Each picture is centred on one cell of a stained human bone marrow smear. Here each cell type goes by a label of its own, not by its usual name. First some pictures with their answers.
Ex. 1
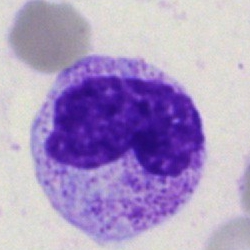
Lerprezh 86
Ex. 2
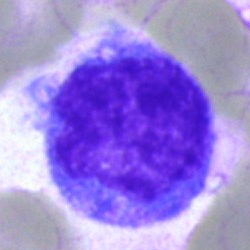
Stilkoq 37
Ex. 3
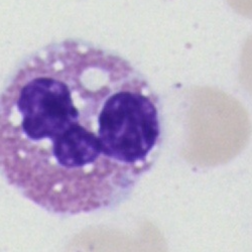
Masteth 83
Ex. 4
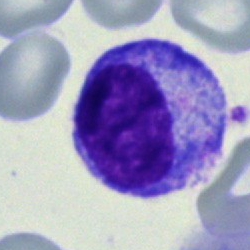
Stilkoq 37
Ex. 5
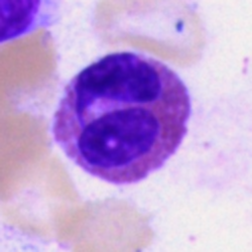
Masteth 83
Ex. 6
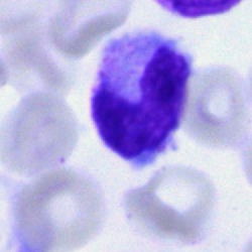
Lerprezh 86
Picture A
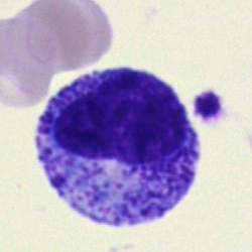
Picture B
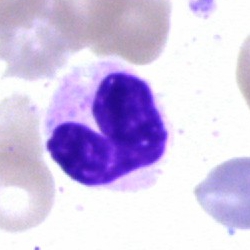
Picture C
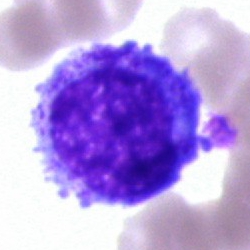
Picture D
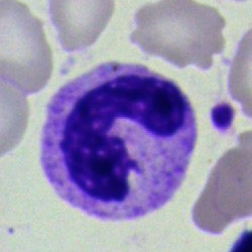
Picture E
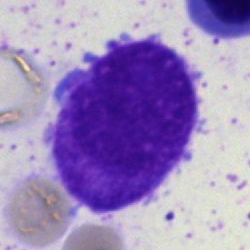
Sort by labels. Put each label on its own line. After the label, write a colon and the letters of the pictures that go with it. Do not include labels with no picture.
Lerprezh 86: B, D
Stilkoq 37: A, C, E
